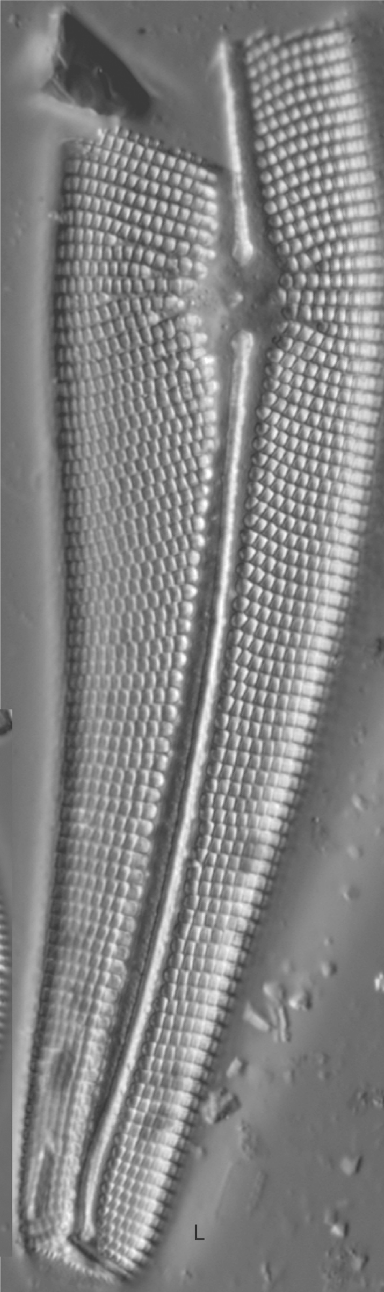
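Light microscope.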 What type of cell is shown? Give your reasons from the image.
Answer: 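A single elongated, rigid cell wall (valve) with a sharply outlined edge. A long central slit-like line runs along the valve with a central expanded area. The whole surface is covered by regular rows of small rounded pores.
Diatom.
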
